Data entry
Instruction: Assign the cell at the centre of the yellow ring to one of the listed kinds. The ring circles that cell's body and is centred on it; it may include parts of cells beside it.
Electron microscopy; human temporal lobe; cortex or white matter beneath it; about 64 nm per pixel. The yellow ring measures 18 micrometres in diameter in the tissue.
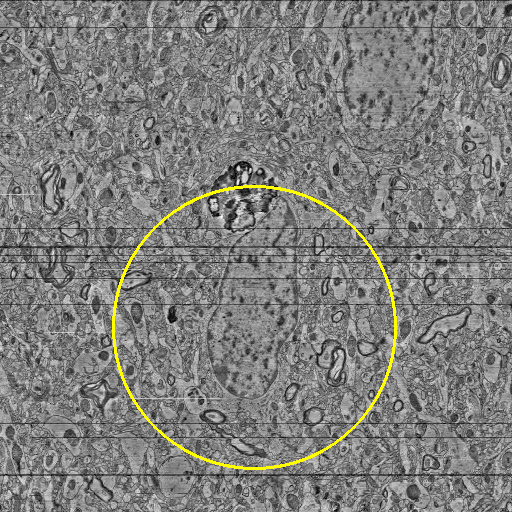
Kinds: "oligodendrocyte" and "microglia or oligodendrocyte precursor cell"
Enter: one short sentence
The centre of the ring falls on a microglial cell or oligodendrocyte precursor cell.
